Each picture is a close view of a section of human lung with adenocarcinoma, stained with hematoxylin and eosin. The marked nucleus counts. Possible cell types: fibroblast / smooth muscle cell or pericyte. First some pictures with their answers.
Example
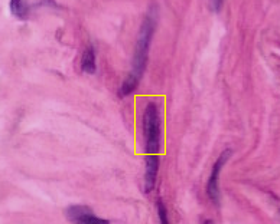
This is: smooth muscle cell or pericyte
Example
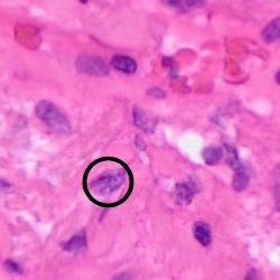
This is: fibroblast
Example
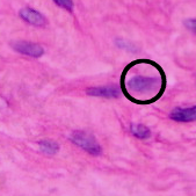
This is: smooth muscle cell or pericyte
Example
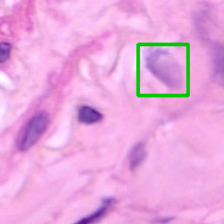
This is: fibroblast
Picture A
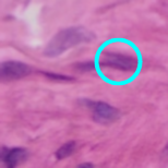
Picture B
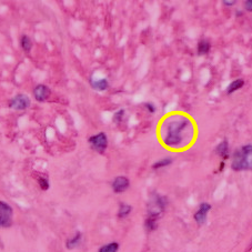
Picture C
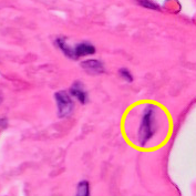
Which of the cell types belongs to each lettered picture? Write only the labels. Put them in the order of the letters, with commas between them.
smooth muscle cell or pericyte, fibroblast, fibroblast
